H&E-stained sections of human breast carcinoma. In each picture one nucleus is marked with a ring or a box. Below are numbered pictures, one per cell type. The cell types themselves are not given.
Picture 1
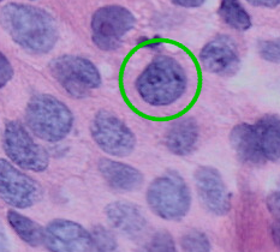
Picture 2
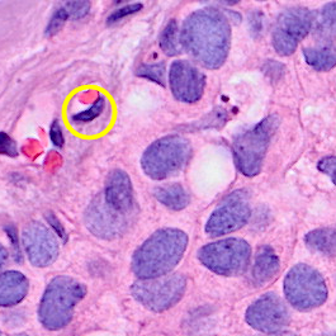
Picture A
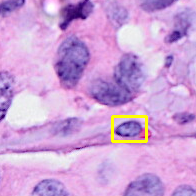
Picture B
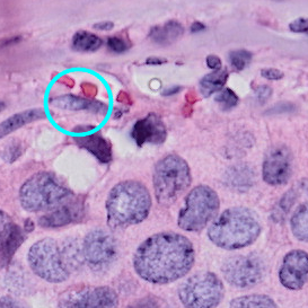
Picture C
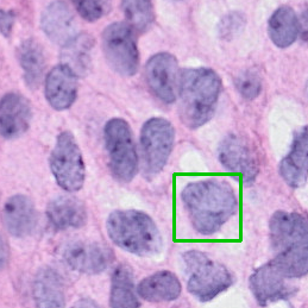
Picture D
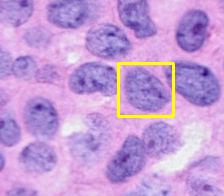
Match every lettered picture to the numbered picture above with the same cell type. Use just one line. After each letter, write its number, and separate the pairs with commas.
A 2, B 2, C 1, D 1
